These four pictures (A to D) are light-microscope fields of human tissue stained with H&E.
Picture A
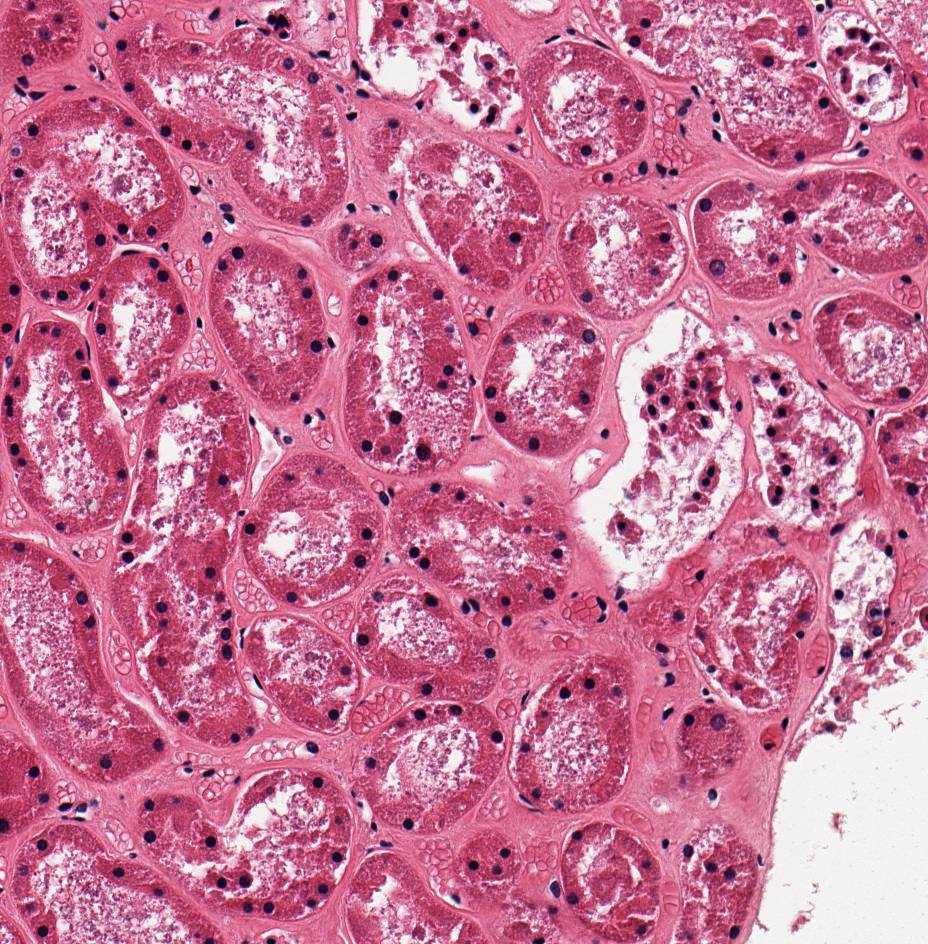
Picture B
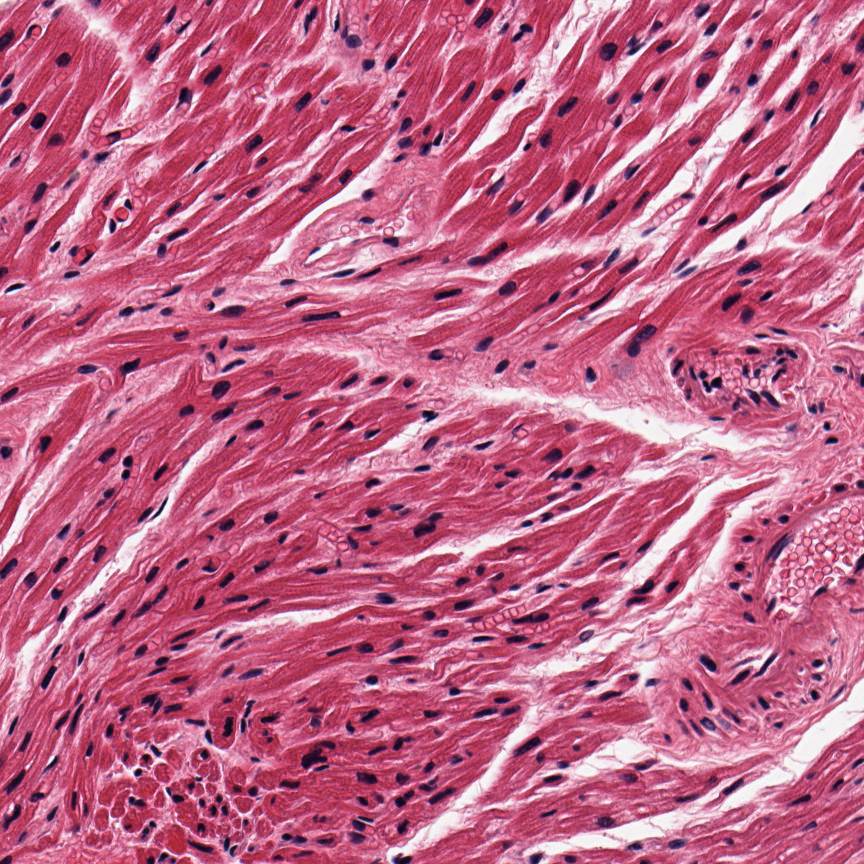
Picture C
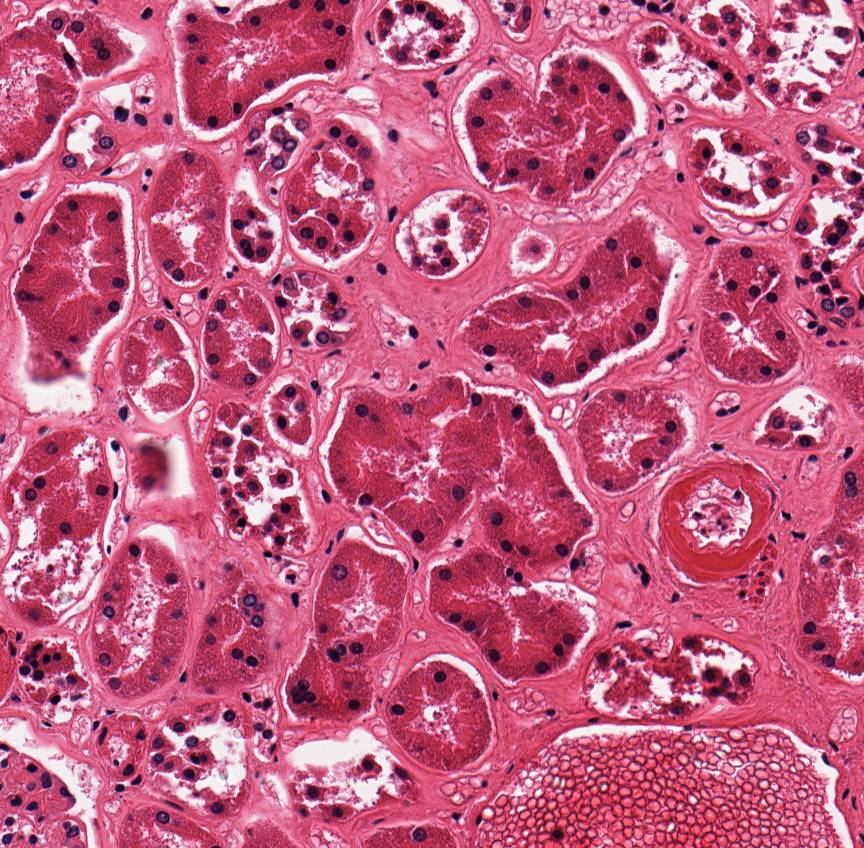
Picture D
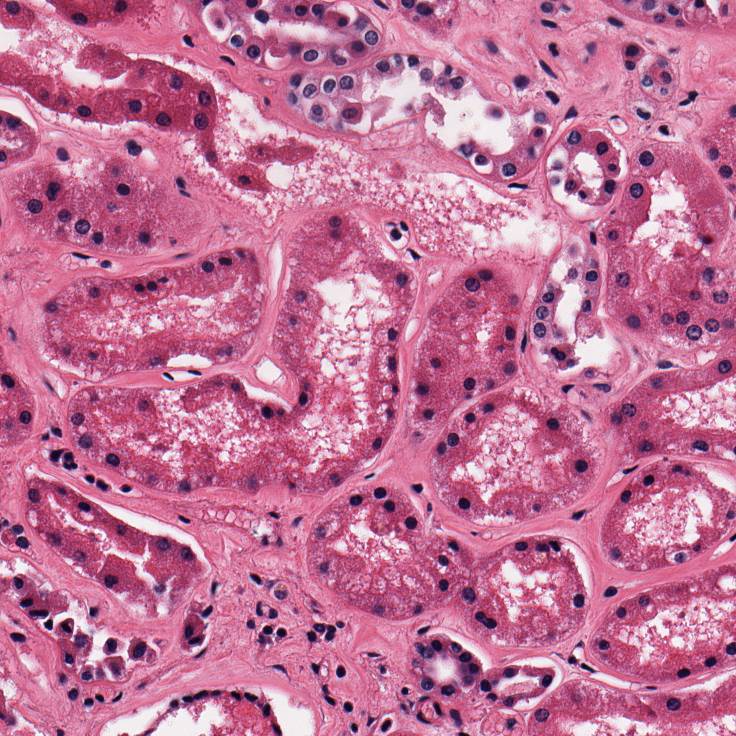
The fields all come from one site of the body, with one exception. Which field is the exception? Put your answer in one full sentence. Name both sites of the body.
Unlike the rest, which come from the renal cortex, picture B comes from the atrial appendage of the heart.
